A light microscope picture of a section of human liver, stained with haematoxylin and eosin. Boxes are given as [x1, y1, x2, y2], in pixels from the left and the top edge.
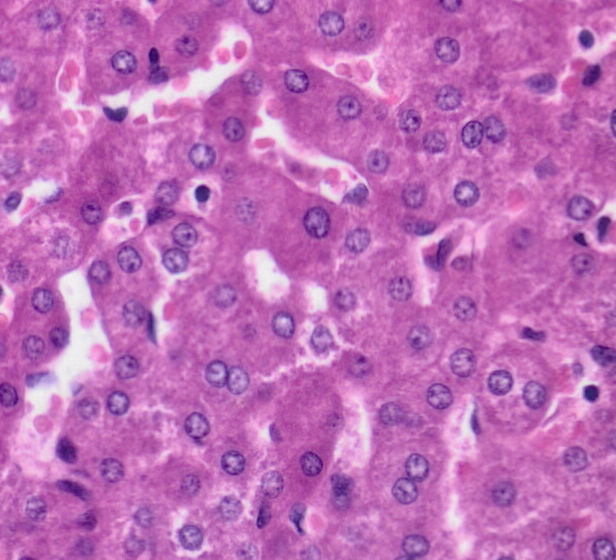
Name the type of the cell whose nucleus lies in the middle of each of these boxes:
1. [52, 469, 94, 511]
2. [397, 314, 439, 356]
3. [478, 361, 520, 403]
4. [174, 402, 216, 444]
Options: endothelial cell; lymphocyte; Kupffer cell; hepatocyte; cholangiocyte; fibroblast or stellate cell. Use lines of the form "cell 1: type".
cell 1: fibroblast or stellate cell
cell 2: hepatocyte
cell 3: hepatocyte
cell 4: hepatocyte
